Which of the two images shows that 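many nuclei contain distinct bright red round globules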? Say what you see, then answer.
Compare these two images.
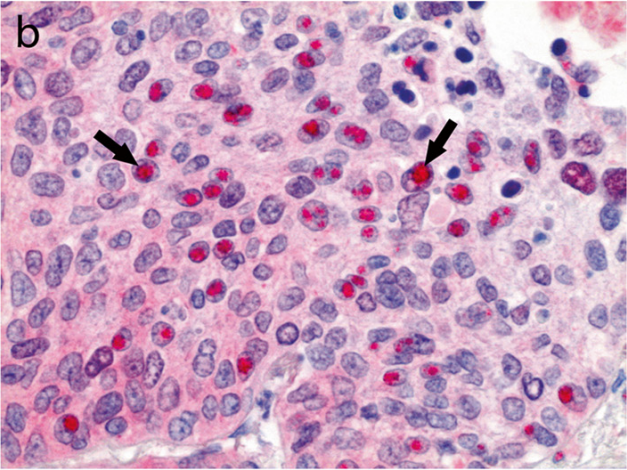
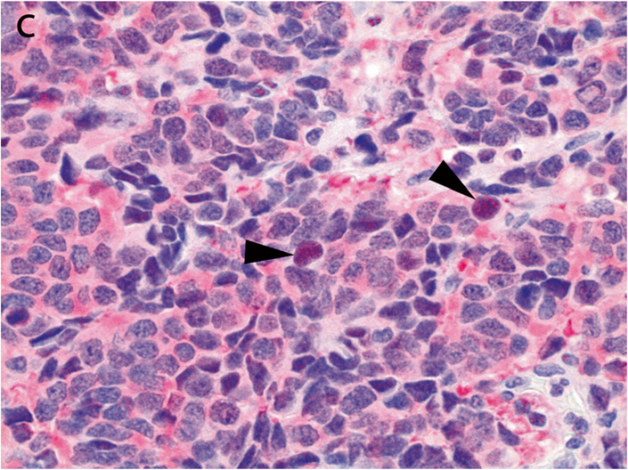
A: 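The first image. Second image: a few nuclei have only a faint, finely granular reddish tint, no discrete globules. First image: many nuclei hold one or several sharply outlined bright red round bodies.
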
